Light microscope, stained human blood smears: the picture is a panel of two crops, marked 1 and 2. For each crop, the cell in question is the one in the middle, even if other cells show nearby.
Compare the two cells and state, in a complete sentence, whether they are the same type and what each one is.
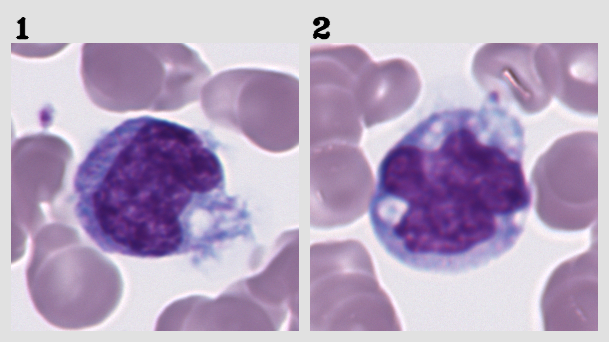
Yes, both crops have monocytes as their central cells.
